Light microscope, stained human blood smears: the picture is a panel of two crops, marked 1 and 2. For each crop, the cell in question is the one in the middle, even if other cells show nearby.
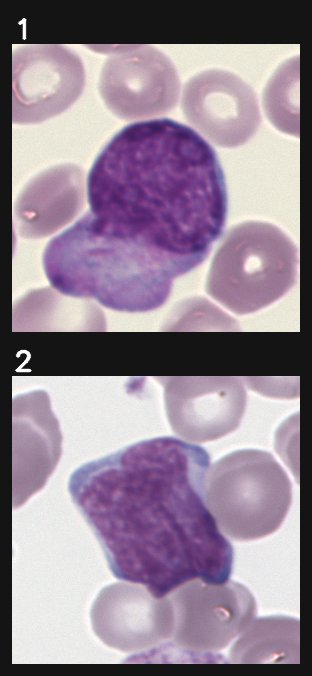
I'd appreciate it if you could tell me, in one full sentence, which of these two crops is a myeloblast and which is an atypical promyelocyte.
The designated cell in crop 1 is an atypical promyelocyte, and the designated cell in crop 2 is a myeloblast.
